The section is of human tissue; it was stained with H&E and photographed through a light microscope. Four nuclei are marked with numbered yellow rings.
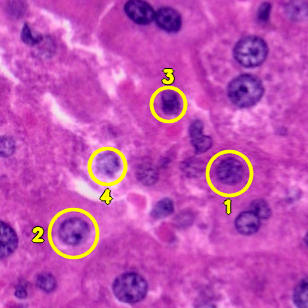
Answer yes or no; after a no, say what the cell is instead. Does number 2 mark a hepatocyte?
Yes.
